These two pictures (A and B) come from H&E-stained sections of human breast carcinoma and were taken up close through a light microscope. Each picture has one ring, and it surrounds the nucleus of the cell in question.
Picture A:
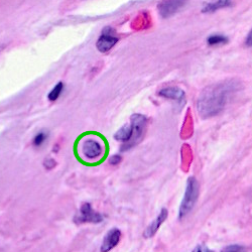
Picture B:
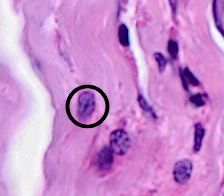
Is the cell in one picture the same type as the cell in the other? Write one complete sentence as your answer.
Yes; the cells in both pictures are mast cells.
